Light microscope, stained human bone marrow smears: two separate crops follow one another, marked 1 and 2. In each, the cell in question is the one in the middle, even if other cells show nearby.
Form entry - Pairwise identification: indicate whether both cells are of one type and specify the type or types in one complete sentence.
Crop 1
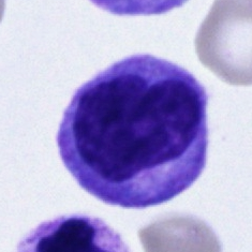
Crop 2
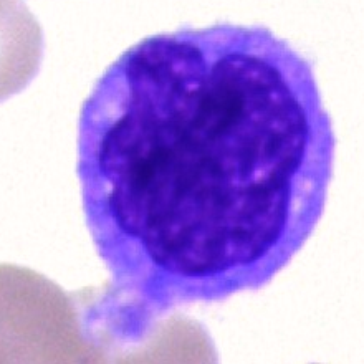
Yes, as an answer for this item, both crops show monocytes.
